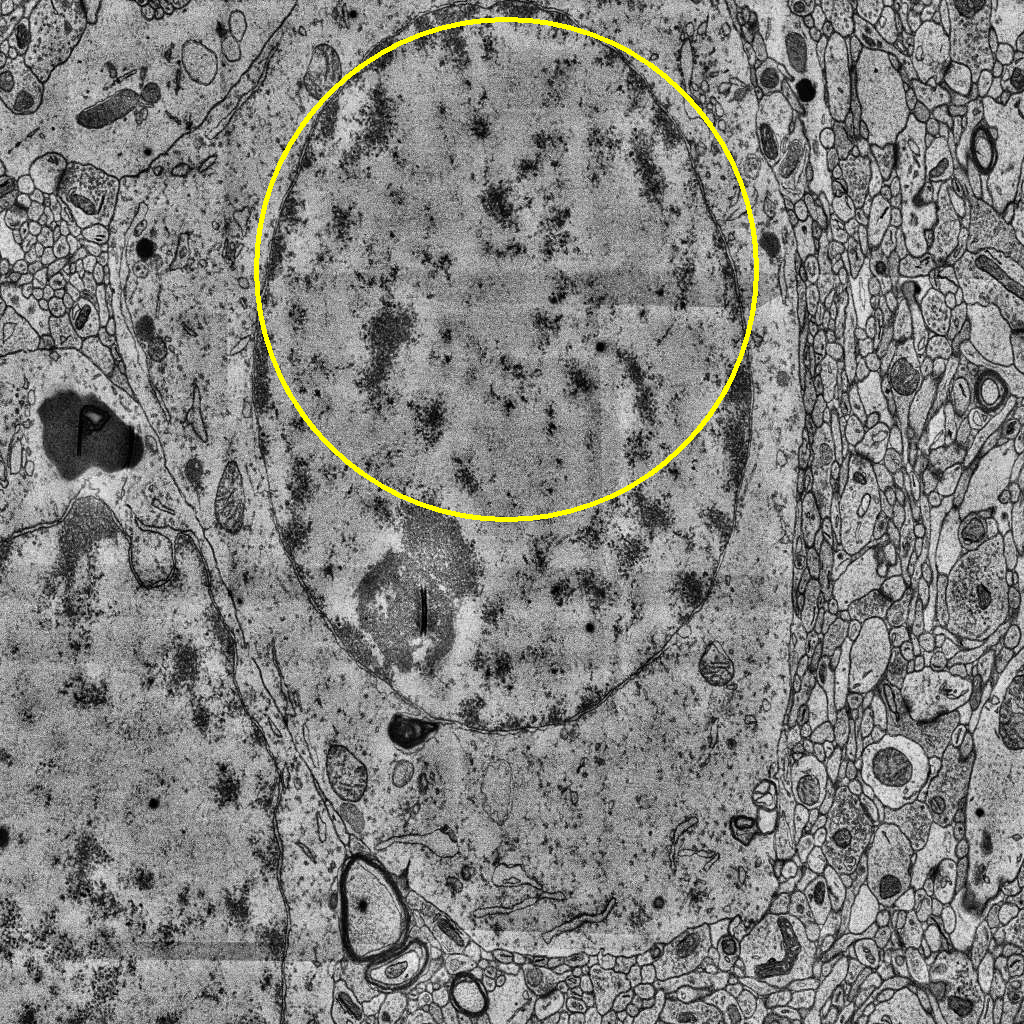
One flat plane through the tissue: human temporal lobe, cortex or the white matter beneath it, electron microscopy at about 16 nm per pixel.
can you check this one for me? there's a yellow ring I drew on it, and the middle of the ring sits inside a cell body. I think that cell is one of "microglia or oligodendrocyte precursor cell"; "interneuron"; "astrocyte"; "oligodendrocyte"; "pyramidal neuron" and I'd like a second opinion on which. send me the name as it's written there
pyramidal neuron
